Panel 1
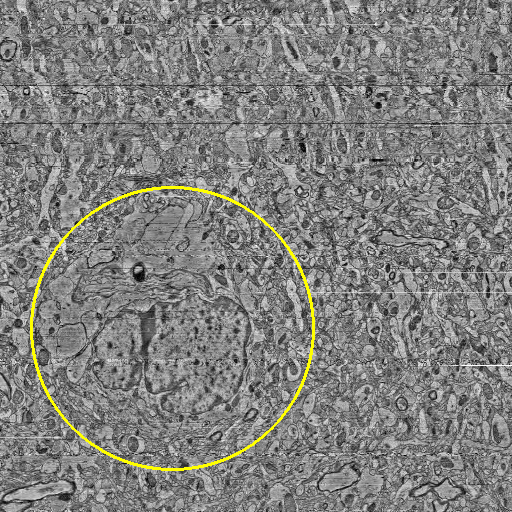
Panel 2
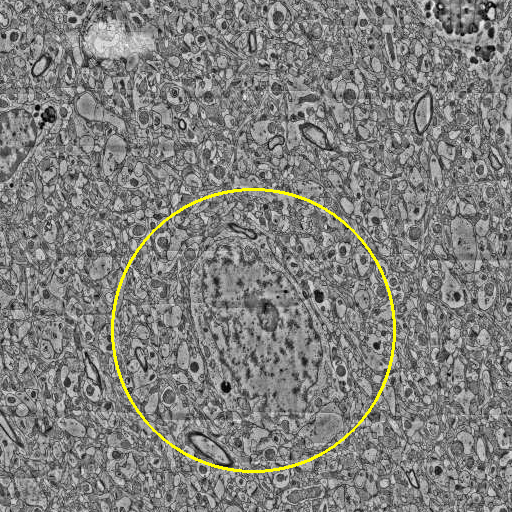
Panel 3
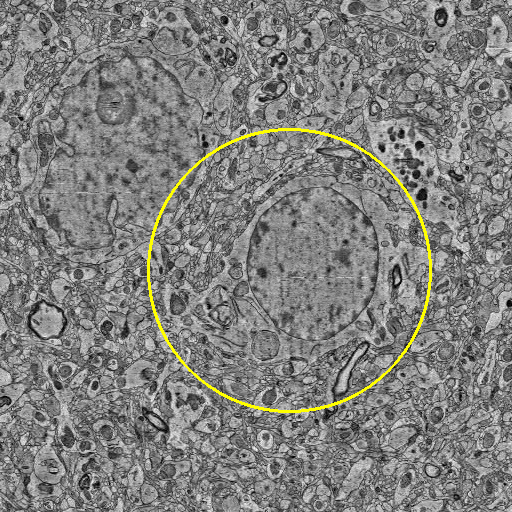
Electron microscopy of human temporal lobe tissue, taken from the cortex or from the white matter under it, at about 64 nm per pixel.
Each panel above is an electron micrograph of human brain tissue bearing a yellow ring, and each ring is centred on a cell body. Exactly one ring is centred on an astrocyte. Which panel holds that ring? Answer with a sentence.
That ring is in Panel 3.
